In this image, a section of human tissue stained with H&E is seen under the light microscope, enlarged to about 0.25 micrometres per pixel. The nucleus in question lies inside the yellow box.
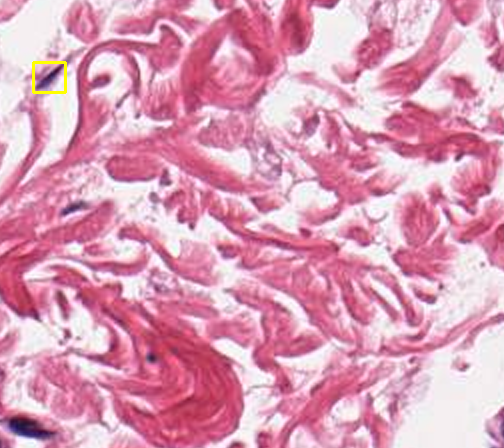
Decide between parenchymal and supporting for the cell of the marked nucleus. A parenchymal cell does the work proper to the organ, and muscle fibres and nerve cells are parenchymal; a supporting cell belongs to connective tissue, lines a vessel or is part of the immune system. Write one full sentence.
The cell bearing the marked nucleus is a supporting cell.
